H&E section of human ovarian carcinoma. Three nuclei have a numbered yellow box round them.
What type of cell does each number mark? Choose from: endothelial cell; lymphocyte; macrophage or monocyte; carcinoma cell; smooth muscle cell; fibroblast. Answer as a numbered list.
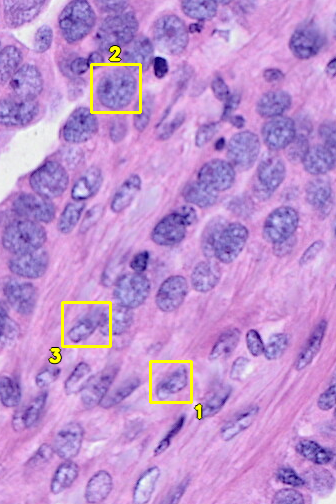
1. fibroblast
2. carcinoma cell
3. fibroblast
